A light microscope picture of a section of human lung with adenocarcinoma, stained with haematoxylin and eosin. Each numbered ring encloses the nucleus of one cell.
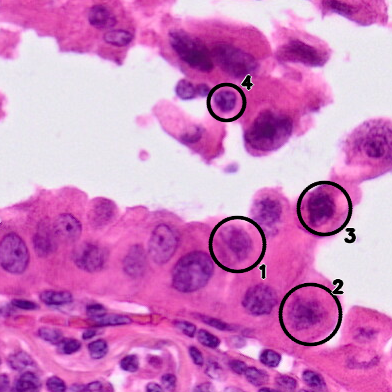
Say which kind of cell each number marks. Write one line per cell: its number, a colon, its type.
1: carcinoma cell
2: carcinoma cell
3: carcinoma cell
4: lymphocyte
